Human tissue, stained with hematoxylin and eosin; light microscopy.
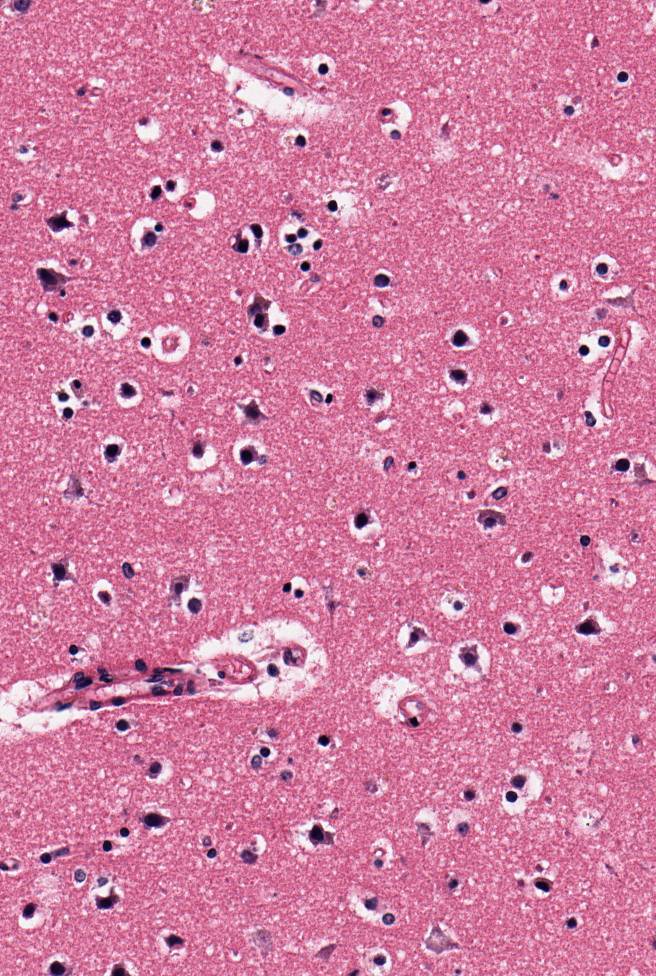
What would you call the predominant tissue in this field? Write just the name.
cerebral cortex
